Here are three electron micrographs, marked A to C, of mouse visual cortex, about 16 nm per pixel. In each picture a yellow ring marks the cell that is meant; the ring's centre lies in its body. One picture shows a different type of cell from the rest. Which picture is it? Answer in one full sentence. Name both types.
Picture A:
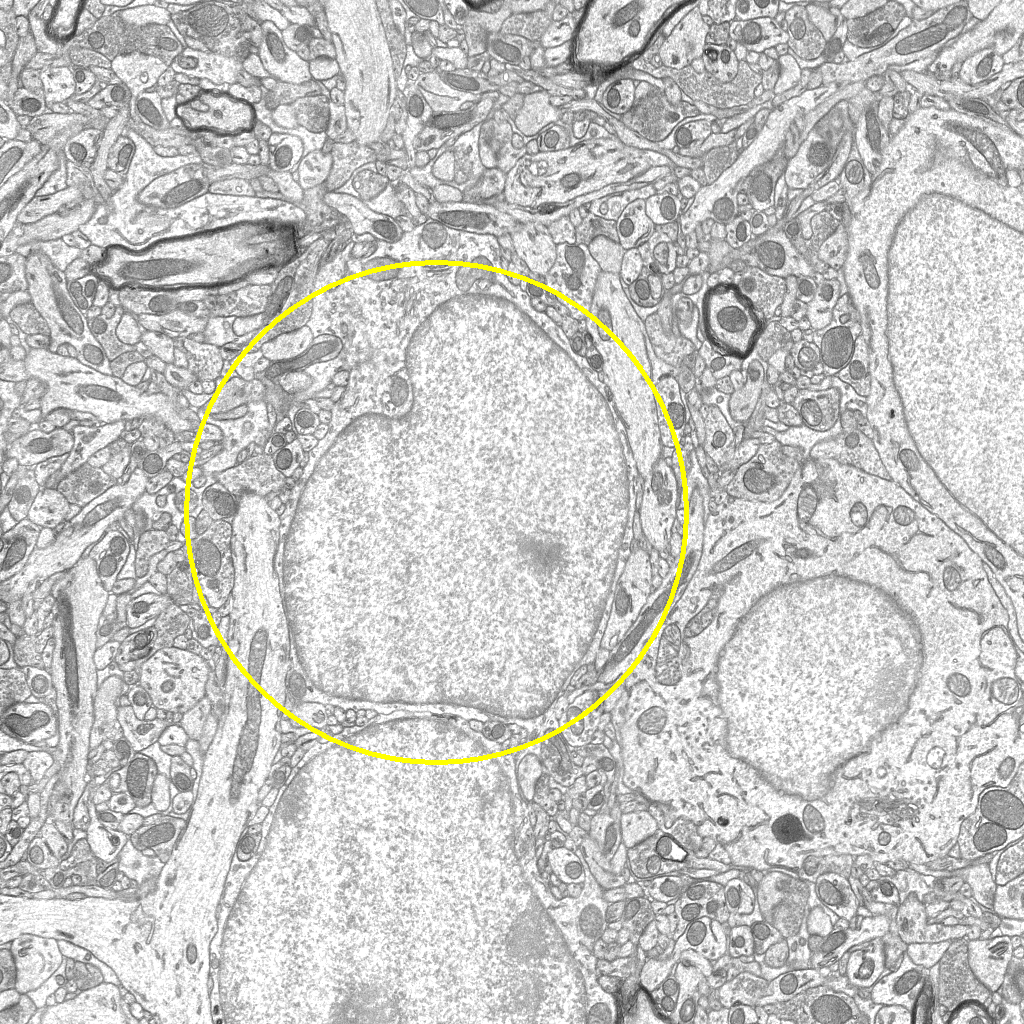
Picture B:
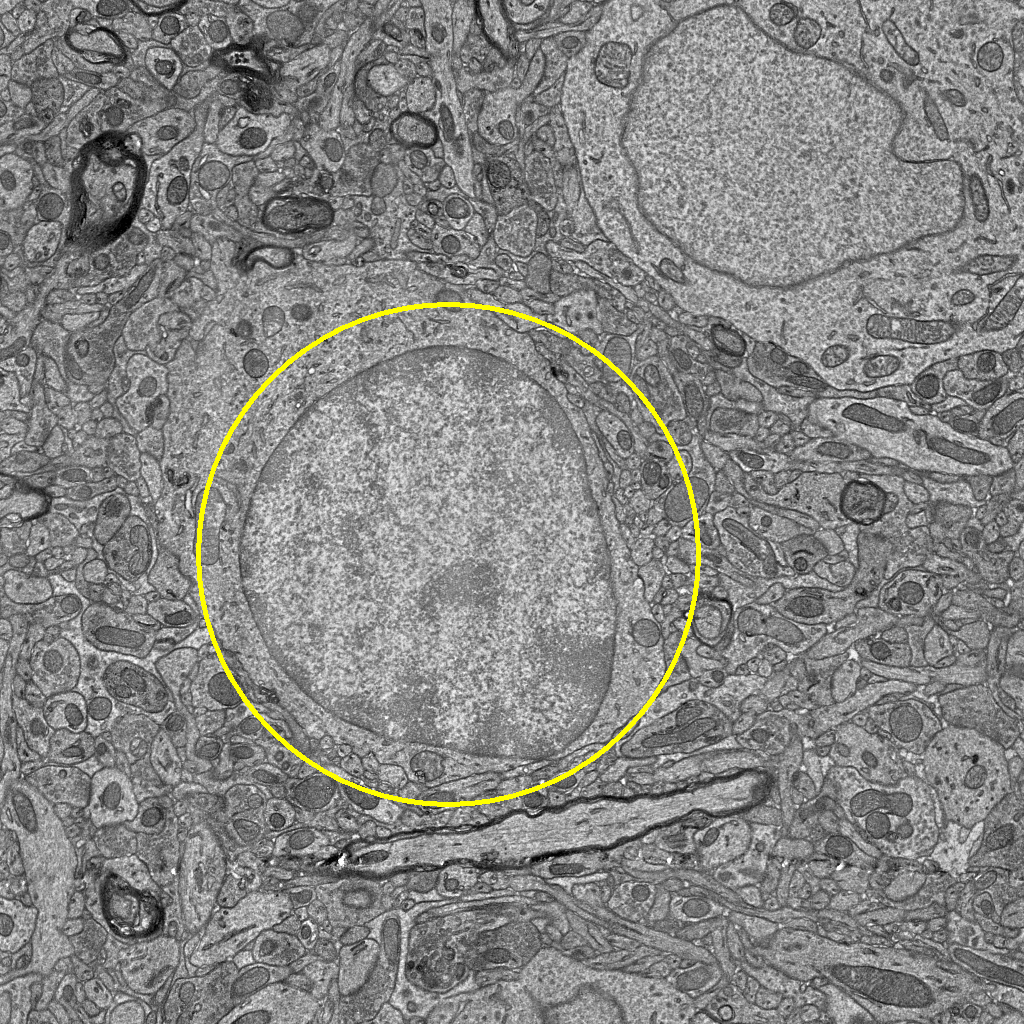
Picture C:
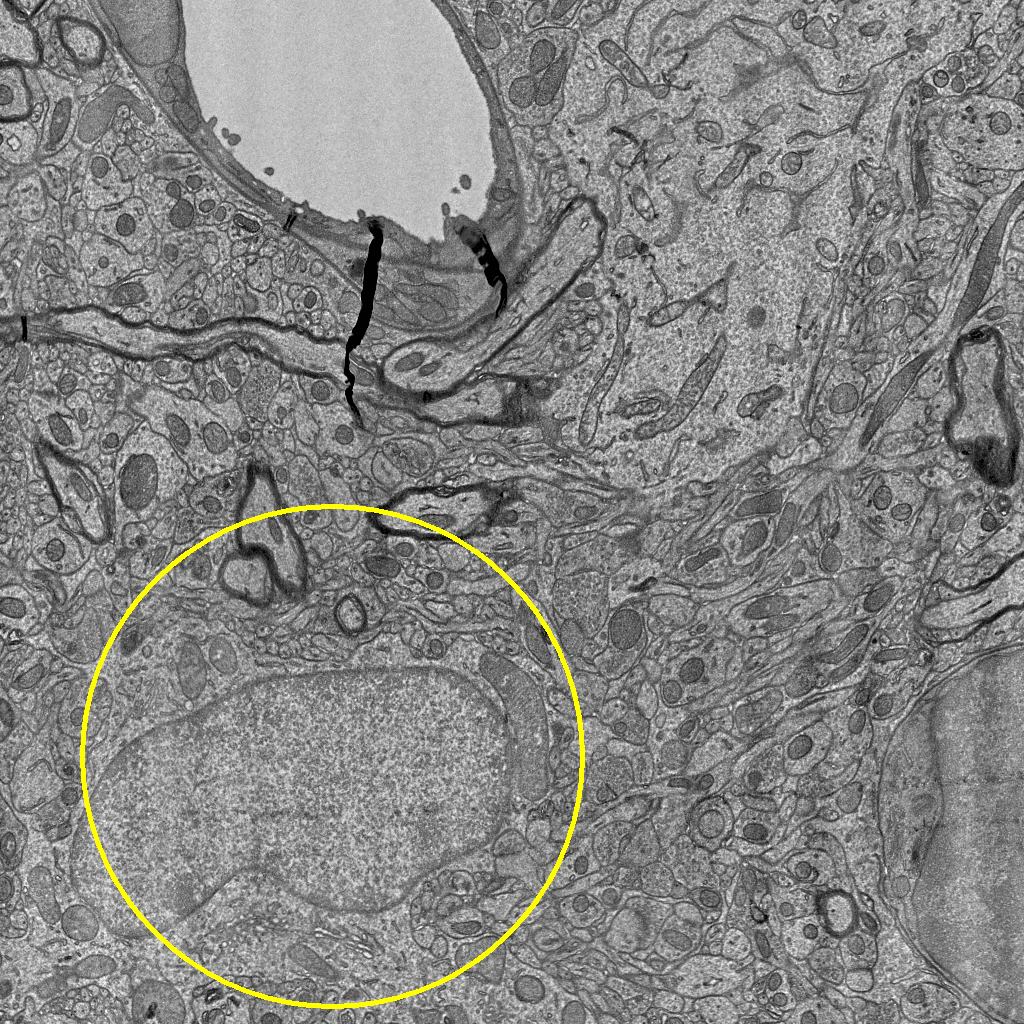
The others show astrocytes, but picture B shows an oligodendrocyte.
